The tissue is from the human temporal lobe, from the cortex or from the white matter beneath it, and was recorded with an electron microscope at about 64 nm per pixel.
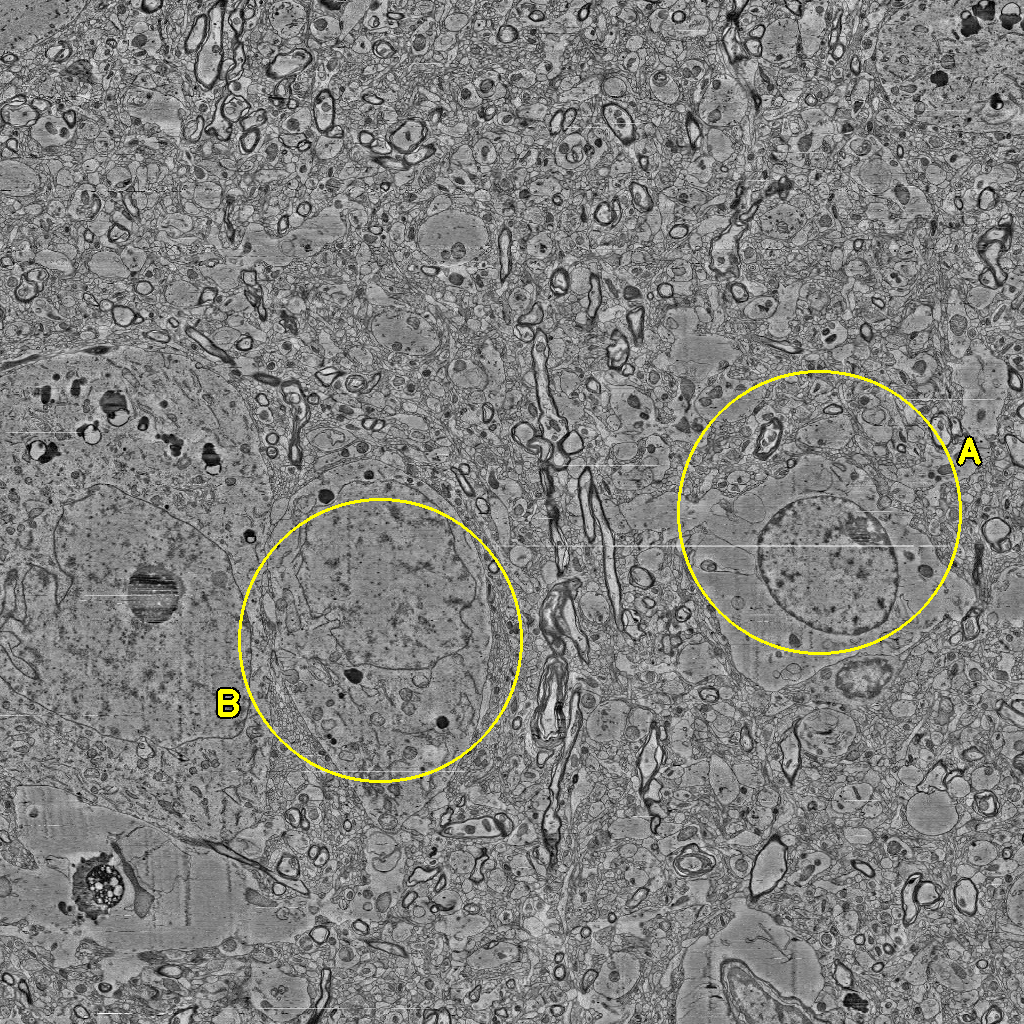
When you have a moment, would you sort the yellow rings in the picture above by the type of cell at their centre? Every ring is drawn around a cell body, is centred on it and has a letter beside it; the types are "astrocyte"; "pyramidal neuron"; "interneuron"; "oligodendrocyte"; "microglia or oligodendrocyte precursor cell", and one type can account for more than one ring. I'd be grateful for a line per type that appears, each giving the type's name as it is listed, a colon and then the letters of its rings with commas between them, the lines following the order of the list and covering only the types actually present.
astrocyte: A
interneuron: B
